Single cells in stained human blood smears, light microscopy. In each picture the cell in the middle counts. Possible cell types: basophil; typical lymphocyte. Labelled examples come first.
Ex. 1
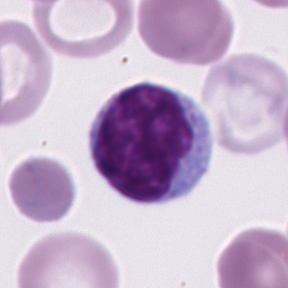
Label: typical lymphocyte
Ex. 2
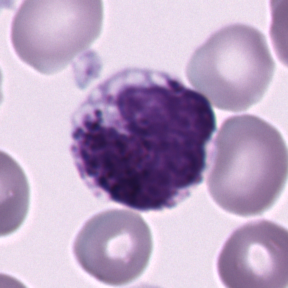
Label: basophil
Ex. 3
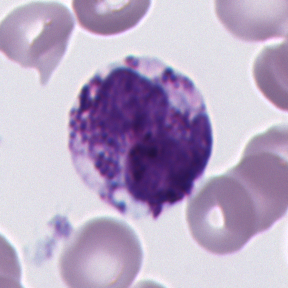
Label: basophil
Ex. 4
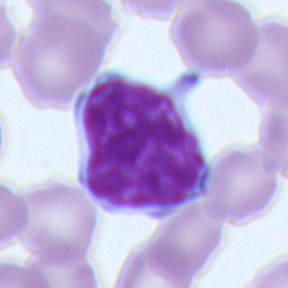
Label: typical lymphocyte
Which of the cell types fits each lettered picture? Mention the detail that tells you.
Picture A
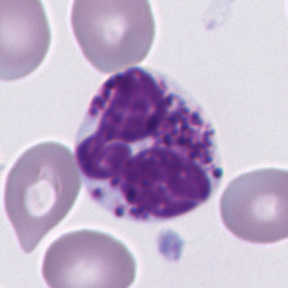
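basophil. The cytoplasm between the granules is pale and nearly colourless.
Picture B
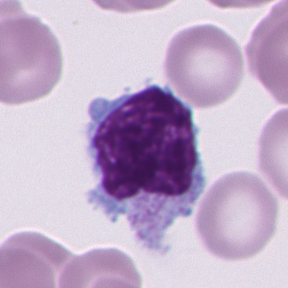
typical lymphocyte. Fine lilac granules are scattered through the cytoplasm below the nucleus.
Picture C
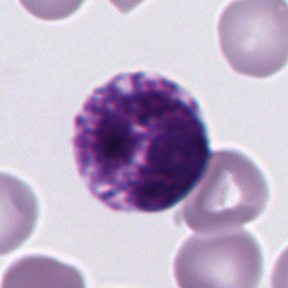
basophil. The cell is crowded with coarse dark purple granules.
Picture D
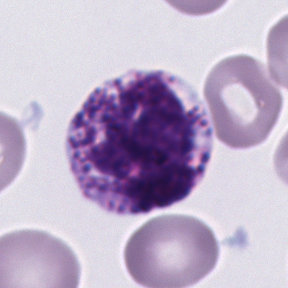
basophil. The cell is strewn with coarse dark blue-purple granules.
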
